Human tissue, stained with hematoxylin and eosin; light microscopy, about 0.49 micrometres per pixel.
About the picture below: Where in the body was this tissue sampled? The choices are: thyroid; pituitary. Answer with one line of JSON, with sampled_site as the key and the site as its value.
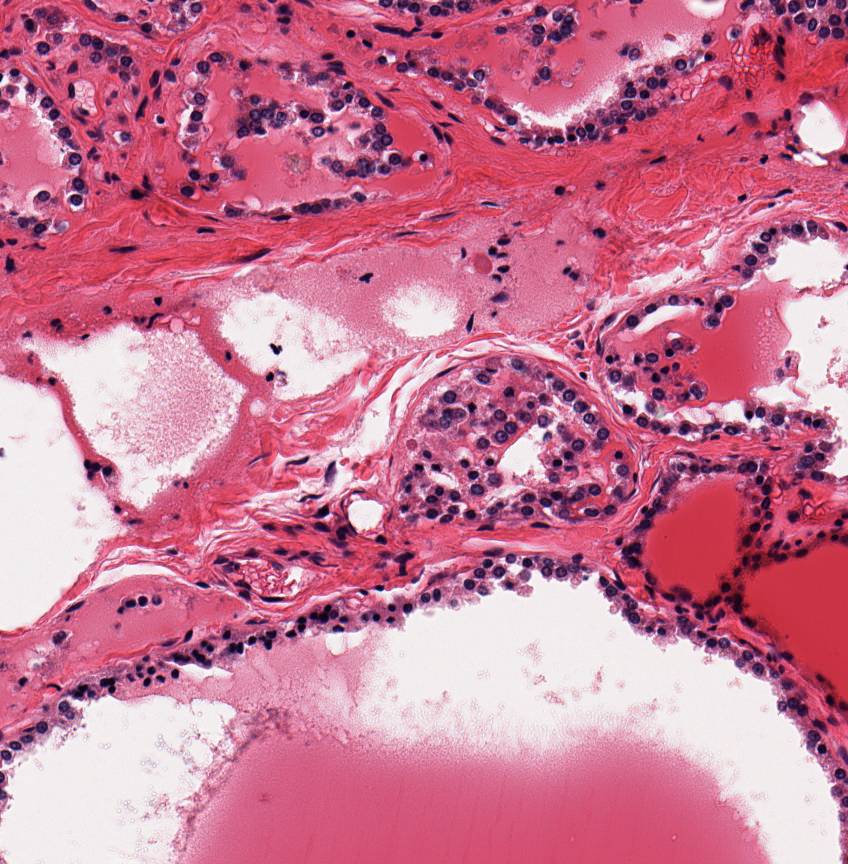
{"sampled_site": "thyroid"}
